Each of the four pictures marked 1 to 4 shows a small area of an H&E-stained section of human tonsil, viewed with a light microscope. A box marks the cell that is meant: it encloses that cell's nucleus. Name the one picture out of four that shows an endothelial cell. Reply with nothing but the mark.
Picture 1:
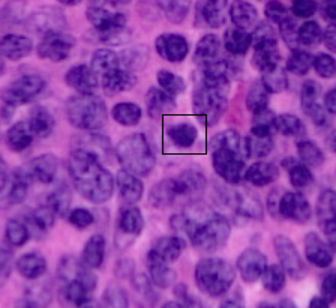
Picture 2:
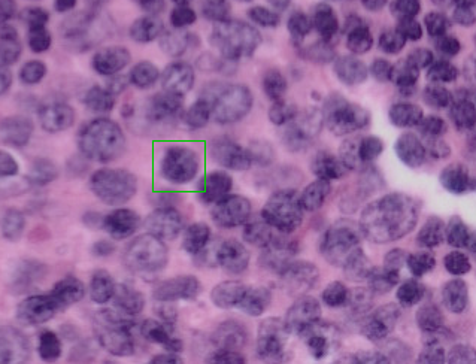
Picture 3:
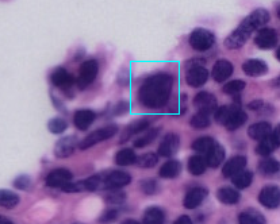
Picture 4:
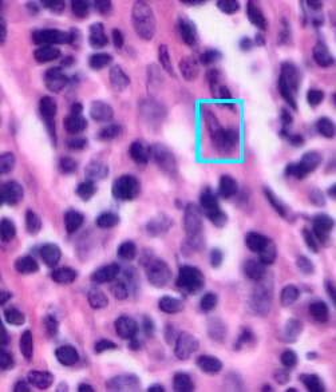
4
